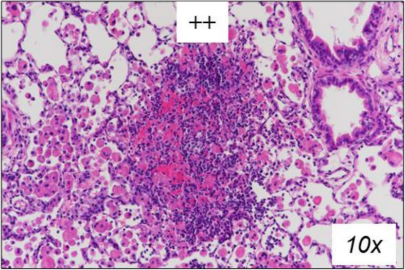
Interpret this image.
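Lung parenchyma with alveoli and a small airway at the upper right, lined by a cuboidal to columnar epithelium. In the centre a dense focus of small cells with dark purple nuclei crowds and obliterates the air spaces, mixed with pink areas. Around it, many alveoli contain rounded pink cells with single nuclei, while the alveoli farther out are still open.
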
